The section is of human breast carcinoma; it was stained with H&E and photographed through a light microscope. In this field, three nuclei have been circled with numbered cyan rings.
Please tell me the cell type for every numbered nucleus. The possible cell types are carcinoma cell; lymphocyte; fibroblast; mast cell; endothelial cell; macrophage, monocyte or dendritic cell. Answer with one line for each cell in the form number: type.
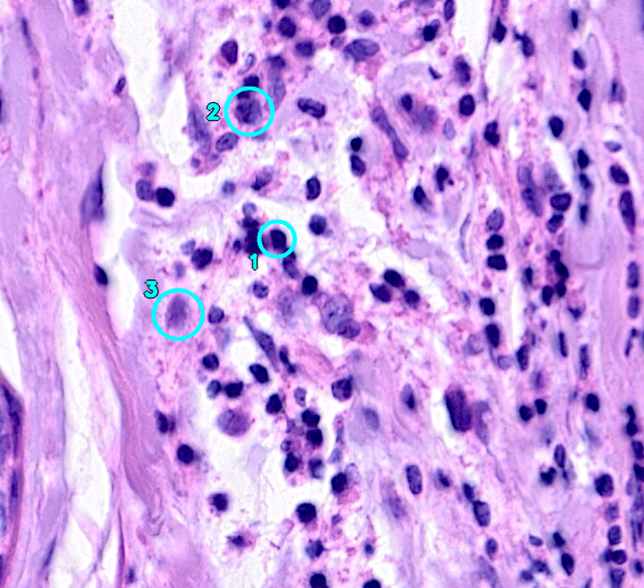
1: lymphocyte
2: lymphocyte
3: fibroblast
